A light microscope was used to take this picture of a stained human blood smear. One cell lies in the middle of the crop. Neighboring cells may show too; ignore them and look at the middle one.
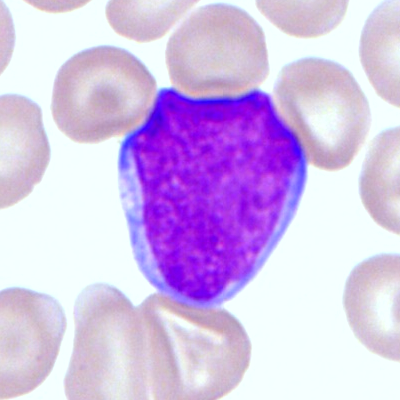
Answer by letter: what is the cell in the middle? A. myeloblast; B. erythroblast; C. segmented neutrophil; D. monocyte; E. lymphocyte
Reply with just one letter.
A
